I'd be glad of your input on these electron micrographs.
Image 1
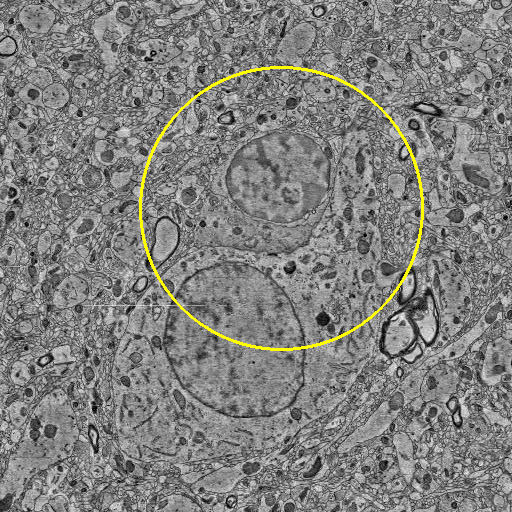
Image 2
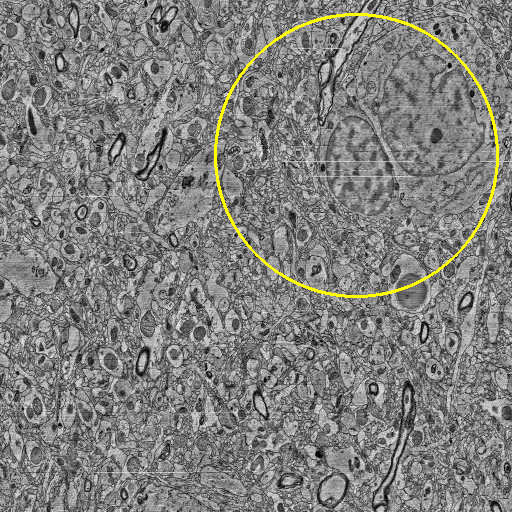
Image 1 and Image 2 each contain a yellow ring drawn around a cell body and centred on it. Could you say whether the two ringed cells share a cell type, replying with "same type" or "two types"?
same type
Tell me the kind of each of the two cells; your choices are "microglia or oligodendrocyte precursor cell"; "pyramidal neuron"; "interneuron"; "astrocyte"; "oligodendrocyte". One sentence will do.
Each of the ringed cells, first and second, is an oligodendrocyte.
